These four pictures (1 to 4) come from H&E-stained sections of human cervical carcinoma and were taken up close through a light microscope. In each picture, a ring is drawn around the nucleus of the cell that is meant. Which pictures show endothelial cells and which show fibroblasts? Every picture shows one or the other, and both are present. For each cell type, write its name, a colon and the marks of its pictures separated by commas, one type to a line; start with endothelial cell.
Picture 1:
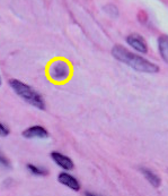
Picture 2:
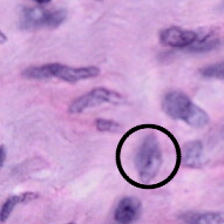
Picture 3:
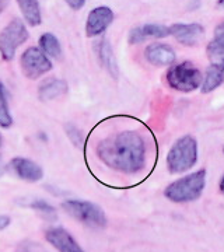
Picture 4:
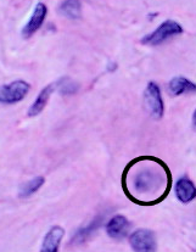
endothelial cell: 3
fibroblast: 1, 2, 4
